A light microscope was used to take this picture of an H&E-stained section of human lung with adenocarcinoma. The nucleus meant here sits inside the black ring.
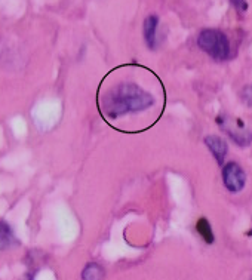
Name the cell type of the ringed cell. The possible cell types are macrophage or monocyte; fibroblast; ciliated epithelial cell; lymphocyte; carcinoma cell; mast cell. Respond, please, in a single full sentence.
As to its cell type, the ringed cell is a fibroblast.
